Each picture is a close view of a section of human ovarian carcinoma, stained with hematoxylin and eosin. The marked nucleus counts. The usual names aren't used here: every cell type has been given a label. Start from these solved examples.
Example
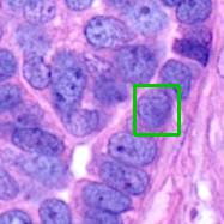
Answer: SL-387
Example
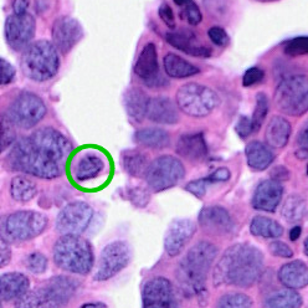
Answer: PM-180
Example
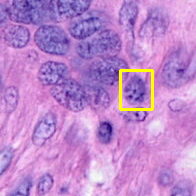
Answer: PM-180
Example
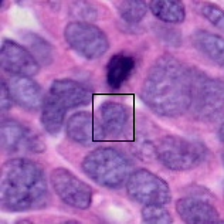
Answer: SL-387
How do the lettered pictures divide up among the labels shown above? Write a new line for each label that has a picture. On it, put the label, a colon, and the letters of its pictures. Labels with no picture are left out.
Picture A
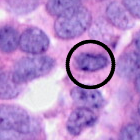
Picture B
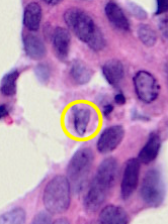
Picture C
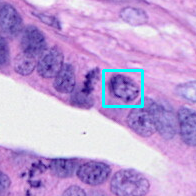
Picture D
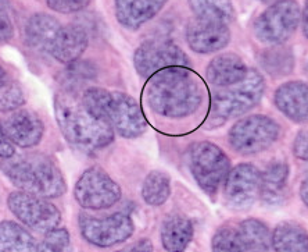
SL-387: D
PM-180: A, B, C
